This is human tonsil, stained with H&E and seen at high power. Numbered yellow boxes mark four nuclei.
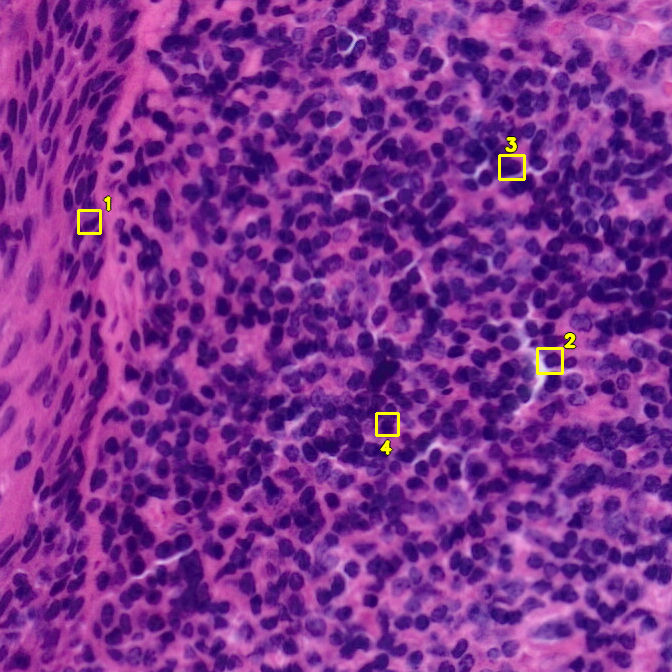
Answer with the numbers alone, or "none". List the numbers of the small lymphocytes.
2, 3, 4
